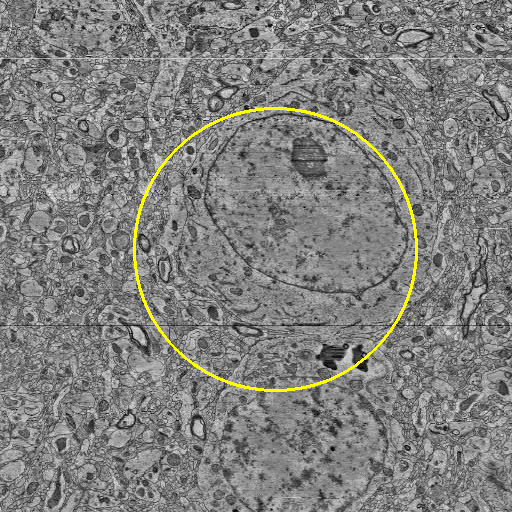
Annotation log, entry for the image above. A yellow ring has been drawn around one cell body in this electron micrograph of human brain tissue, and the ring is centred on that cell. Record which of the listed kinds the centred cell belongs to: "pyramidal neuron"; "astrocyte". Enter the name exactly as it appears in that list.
pyramidal neuron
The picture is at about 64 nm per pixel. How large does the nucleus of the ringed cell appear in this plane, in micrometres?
The nucleus comes to roughly 14 by 11 micrometres in this plane.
